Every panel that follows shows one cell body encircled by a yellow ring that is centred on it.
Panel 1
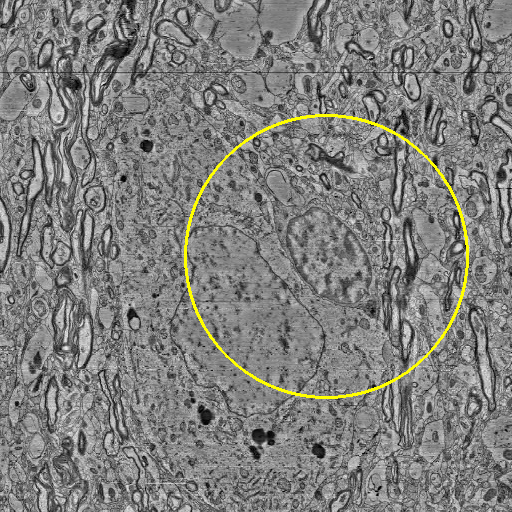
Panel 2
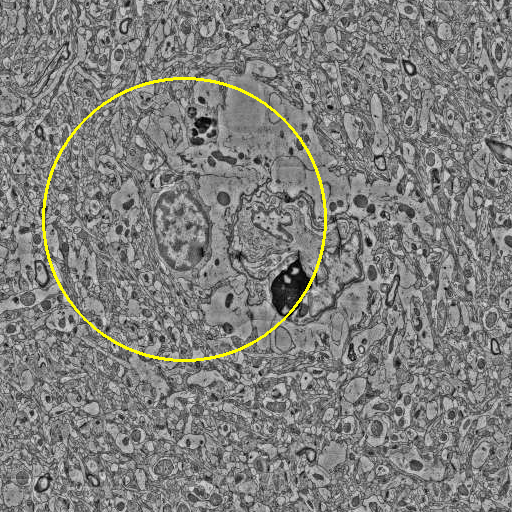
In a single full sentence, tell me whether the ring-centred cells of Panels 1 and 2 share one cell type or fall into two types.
In Panel 1 and Panel 2, the cells at the ring centres share one cell type.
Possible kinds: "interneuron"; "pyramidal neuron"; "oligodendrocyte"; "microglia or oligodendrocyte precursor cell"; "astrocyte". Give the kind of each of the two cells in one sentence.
The second cell is an oligodendrocyte, just as the first is.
